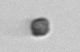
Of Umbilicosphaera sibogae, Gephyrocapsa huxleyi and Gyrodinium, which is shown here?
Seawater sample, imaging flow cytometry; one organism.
Gephyrocapsa huxleyi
